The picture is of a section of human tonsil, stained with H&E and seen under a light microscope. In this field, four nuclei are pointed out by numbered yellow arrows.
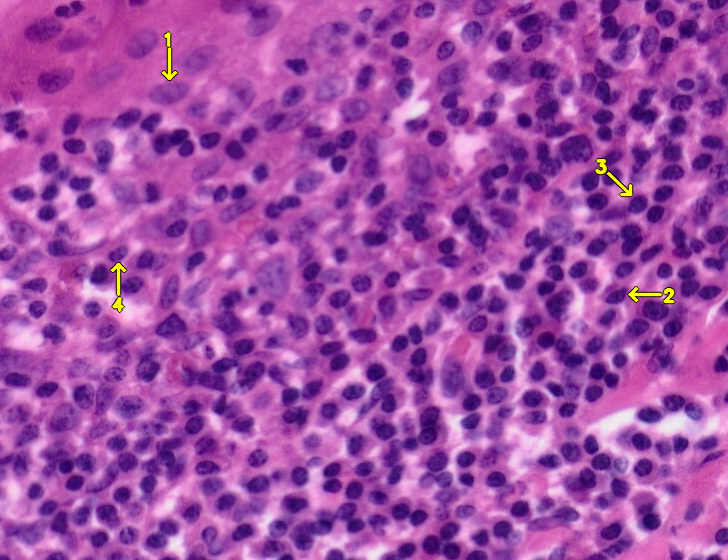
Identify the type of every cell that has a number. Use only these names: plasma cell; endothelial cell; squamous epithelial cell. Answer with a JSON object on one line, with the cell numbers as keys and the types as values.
{"1": "squamous epithelial cell", "2": "plasma cell", "3": "plasma cell", "4": "plasma cell"}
